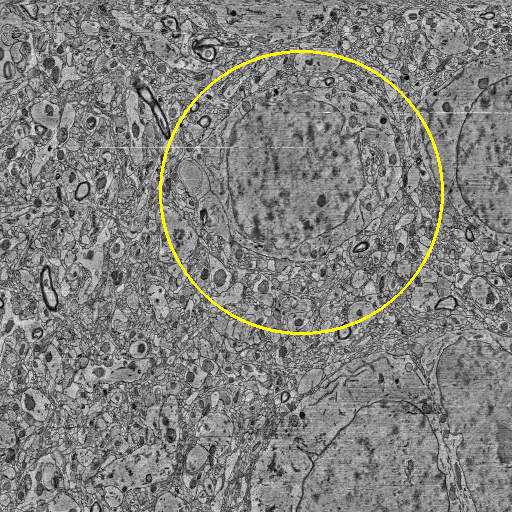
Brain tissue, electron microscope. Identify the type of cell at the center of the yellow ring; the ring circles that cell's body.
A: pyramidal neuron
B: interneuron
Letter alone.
B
